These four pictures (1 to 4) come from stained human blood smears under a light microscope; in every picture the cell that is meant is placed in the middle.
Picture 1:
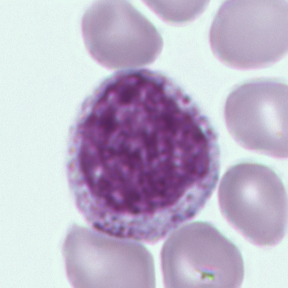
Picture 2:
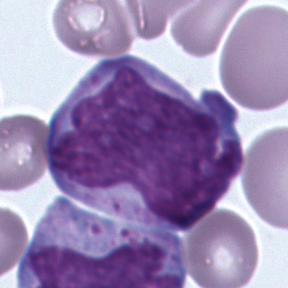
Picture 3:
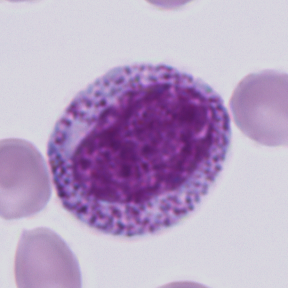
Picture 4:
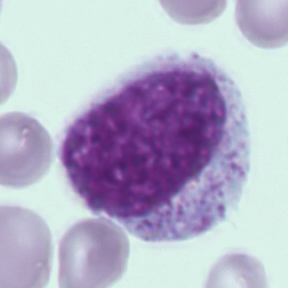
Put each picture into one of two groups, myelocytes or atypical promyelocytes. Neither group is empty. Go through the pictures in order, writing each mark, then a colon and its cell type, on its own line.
1: myelocyte
2: atypical promyelocyte
3: myelocyte
4: myelocyte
